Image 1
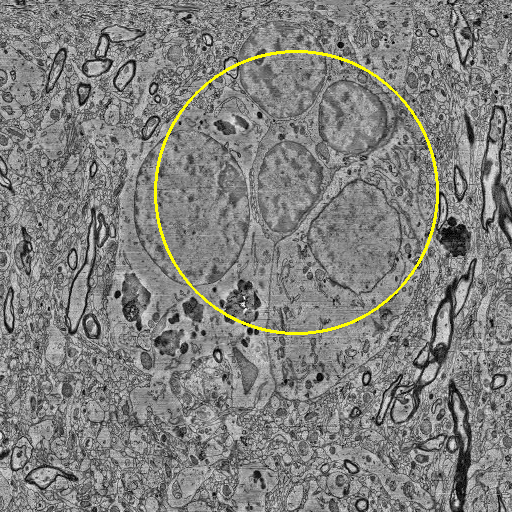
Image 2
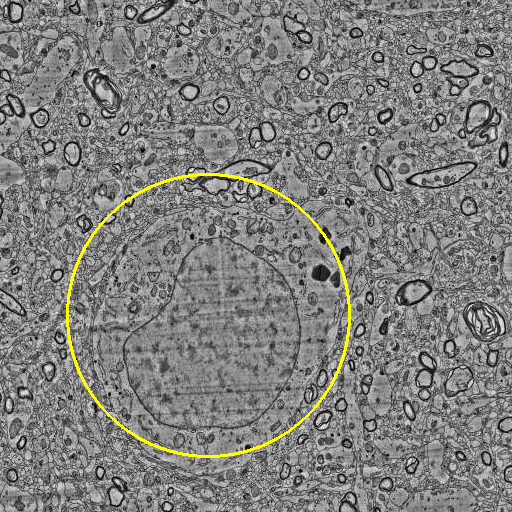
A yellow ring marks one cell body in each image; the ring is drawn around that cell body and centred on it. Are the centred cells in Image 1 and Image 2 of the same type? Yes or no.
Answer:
no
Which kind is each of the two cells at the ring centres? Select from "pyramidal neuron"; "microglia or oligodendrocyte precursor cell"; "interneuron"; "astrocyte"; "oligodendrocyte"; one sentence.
The cell at the centre of the ring is an oligodendrocyte in the first picture and a pyramidal neuron in the second.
